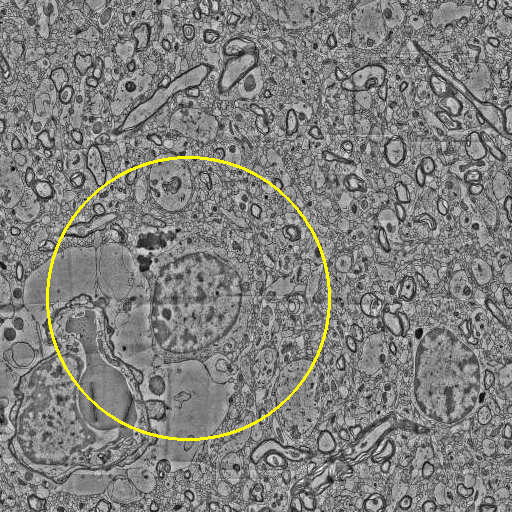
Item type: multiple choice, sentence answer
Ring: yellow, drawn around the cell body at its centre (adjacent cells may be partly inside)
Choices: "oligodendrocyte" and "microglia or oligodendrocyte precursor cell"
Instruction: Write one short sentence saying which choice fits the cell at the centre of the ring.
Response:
This ring is drawn around an oligodendrocyte.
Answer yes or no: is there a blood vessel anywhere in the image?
Yes.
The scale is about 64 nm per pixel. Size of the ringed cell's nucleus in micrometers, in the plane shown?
About 7 micrometres by about 6 micrometres in this plane.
